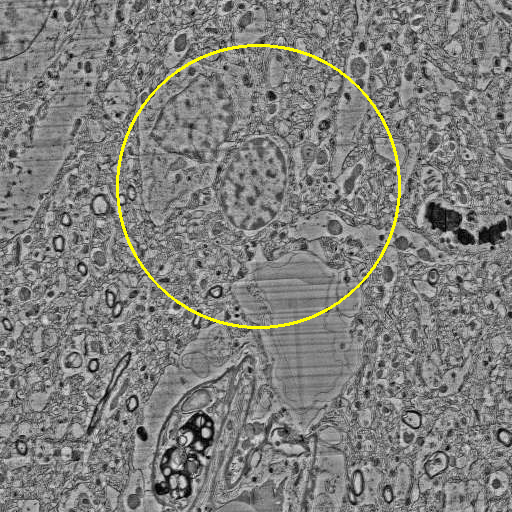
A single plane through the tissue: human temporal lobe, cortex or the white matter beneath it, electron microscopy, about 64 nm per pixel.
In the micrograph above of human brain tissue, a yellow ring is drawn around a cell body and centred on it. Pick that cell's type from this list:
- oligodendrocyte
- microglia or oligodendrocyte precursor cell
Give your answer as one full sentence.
Going by the list, a microglial cell or oligodendrocyte precursor cell is the cell on which the yellow ring is centred.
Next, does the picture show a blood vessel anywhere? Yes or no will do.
Yes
